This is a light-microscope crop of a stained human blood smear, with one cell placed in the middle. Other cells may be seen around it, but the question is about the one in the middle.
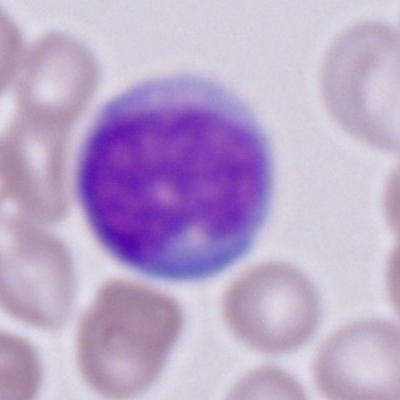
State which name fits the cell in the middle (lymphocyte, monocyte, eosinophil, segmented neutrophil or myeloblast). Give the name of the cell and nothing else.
myeloblast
